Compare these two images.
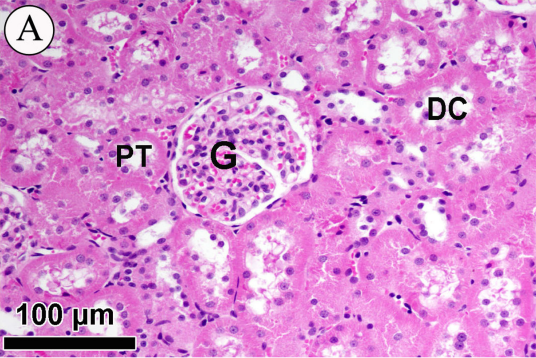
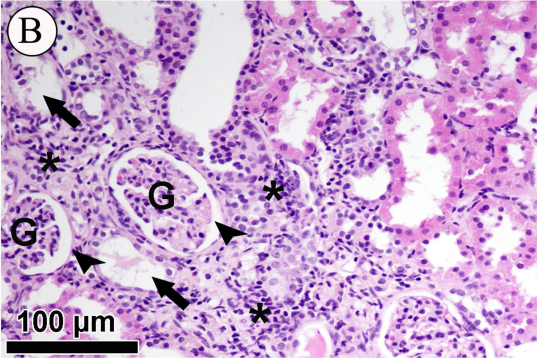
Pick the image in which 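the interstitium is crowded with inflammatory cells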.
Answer: the second image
